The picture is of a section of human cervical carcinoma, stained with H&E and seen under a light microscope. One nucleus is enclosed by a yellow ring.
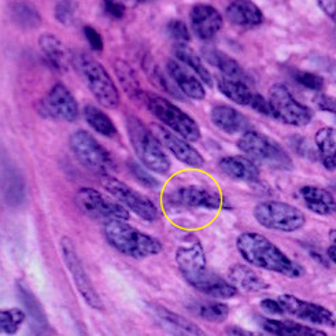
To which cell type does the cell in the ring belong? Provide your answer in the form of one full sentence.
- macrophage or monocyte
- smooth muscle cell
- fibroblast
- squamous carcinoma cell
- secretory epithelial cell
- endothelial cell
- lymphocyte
At the level of cell identity, the cell in the ring is a squamous carcinoma cell.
